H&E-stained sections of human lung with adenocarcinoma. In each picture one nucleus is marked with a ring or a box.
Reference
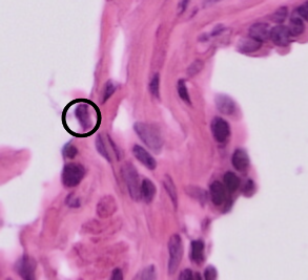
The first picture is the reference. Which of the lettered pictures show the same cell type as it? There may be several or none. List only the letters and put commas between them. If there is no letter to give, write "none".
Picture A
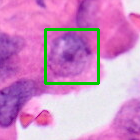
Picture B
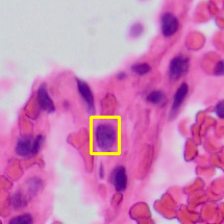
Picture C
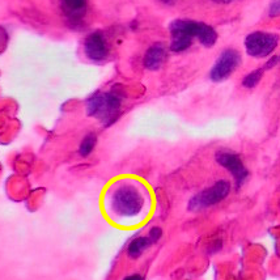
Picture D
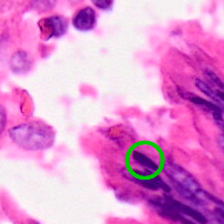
B, C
